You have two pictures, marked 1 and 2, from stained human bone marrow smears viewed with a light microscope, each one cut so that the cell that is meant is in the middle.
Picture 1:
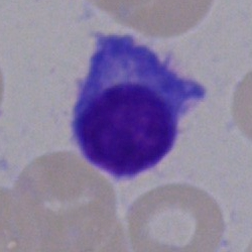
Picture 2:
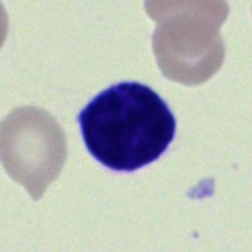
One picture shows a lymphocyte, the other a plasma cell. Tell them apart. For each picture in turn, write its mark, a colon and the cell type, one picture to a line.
1: plasma cell
2: lymphocyte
